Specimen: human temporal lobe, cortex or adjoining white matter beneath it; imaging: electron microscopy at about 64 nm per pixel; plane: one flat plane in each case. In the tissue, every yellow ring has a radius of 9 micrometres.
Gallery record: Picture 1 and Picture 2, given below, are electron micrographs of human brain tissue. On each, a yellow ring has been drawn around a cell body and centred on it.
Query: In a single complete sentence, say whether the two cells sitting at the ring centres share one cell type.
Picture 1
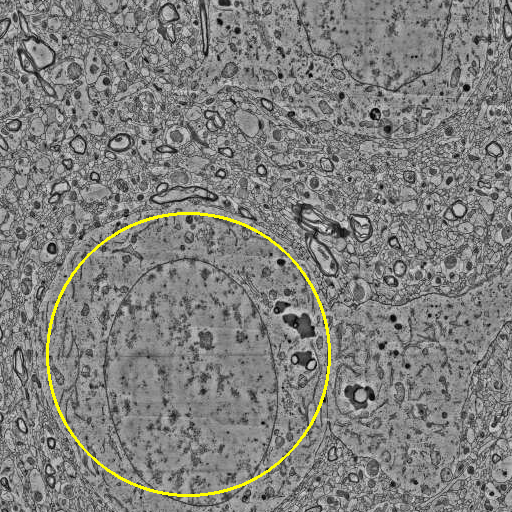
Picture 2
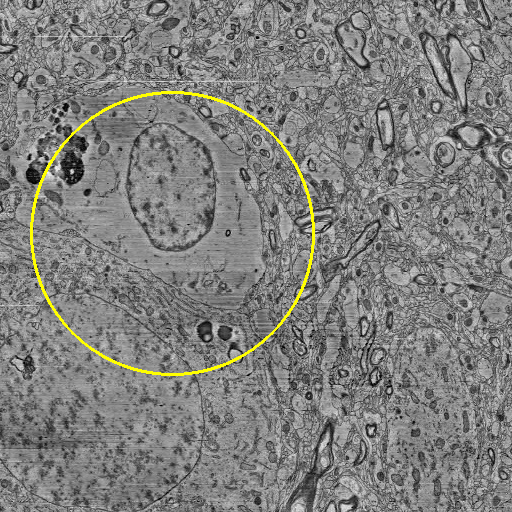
No, in the two pictures the cells at the rings' centres are of two separate types.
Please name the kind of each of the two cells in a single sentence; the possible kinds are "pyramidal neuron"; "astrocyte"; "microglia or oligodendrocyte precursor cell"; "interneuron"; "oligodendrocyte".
In the first picture the ring is centred on a pyramidal neuron, and in the second on an astrocyte.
